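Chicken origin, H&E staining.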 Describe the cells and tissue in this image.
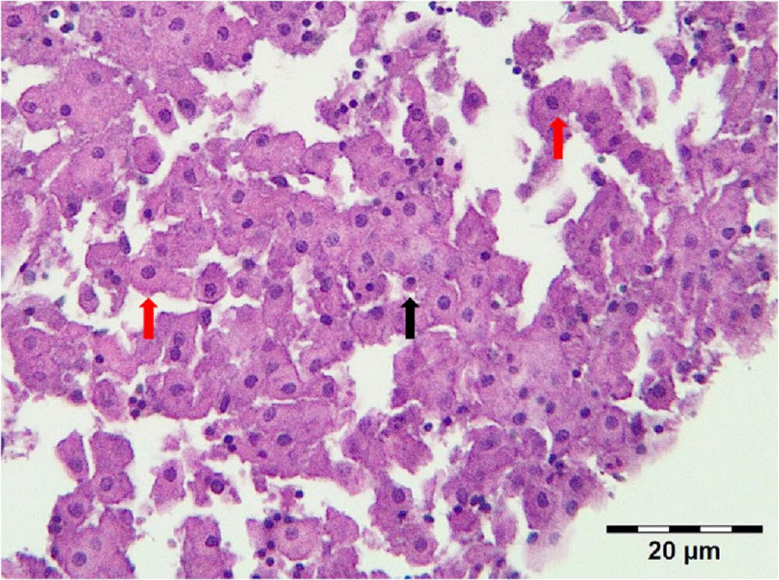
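The hepatocytes are large and polygonal, with abundant pink, finely granular cytoplasm. Each has a round, centrally placed nucleus, some with a visible nucleolus. They are packed side by side in irregular cords and clusters, separated by clefts and open spaces. Between the cords lie small round cells with dense, dark purple nuclei and scant cytoplasm. No portal tracts, vessels or capsule are seen.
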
